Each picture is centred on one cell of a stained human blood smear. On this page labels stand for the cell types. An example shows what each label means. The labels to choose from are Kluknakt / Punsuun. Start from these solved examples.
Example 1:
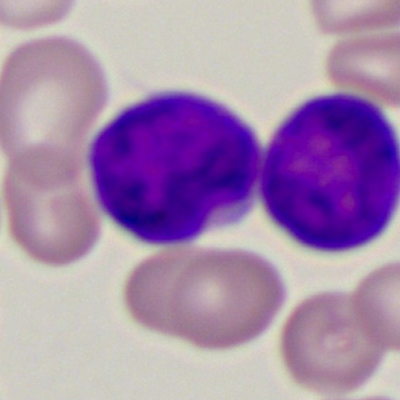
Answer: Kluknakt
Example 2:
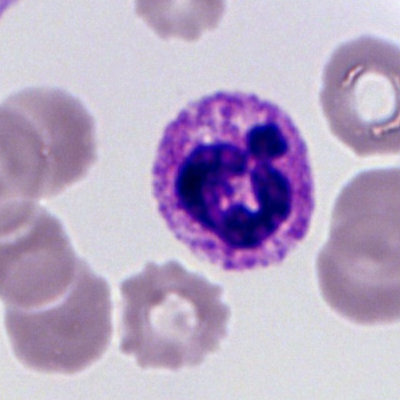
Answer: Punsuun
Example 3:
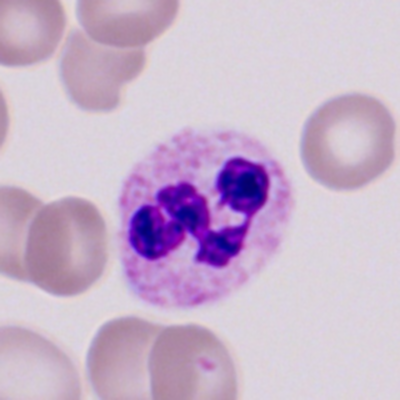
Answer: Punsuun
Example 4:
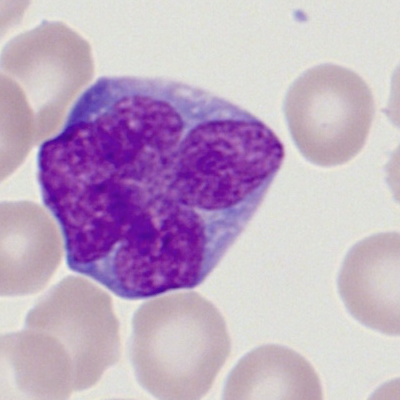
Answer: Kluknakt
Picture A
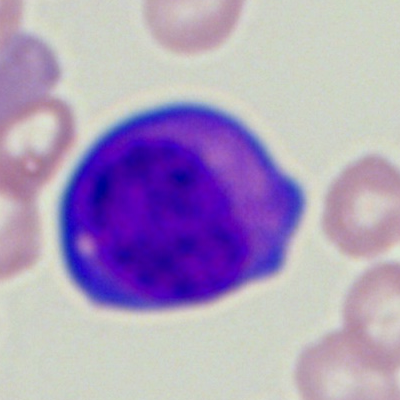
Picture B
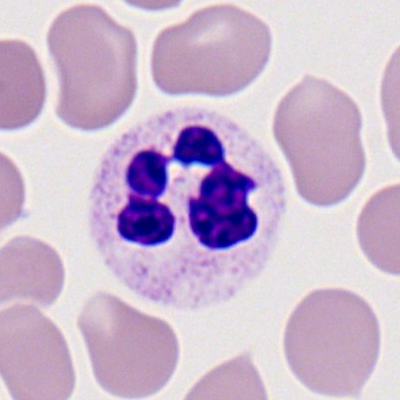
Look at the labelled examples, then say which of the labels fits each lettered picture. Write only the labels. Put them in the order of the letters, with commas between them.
Kluknakt, Punsuun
